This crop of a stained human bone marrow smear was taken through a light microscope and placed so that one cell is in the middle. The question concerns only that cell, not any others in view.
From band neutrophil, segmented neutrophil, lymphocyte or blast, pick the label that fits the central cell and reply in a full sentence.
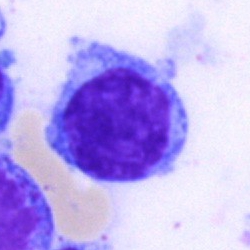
The middle position in this crop is taken by a lymphocyte.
